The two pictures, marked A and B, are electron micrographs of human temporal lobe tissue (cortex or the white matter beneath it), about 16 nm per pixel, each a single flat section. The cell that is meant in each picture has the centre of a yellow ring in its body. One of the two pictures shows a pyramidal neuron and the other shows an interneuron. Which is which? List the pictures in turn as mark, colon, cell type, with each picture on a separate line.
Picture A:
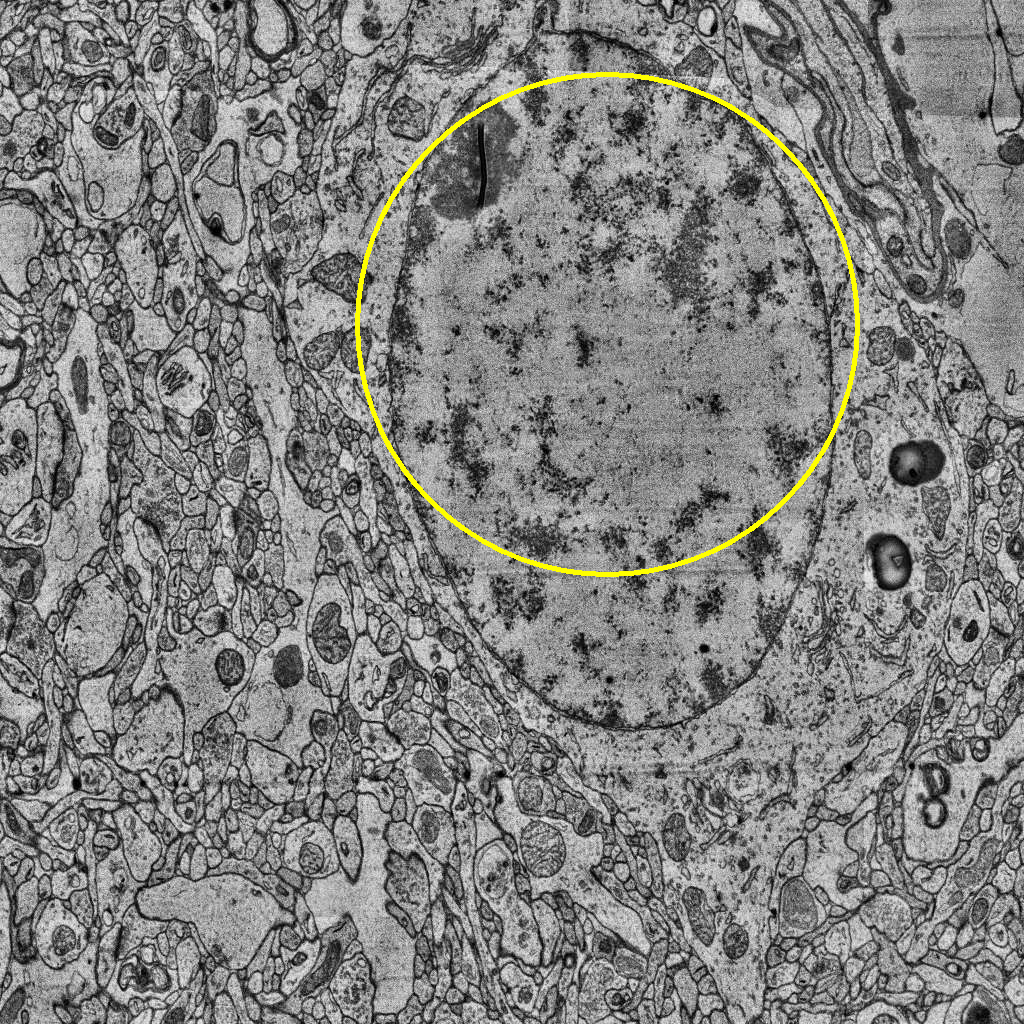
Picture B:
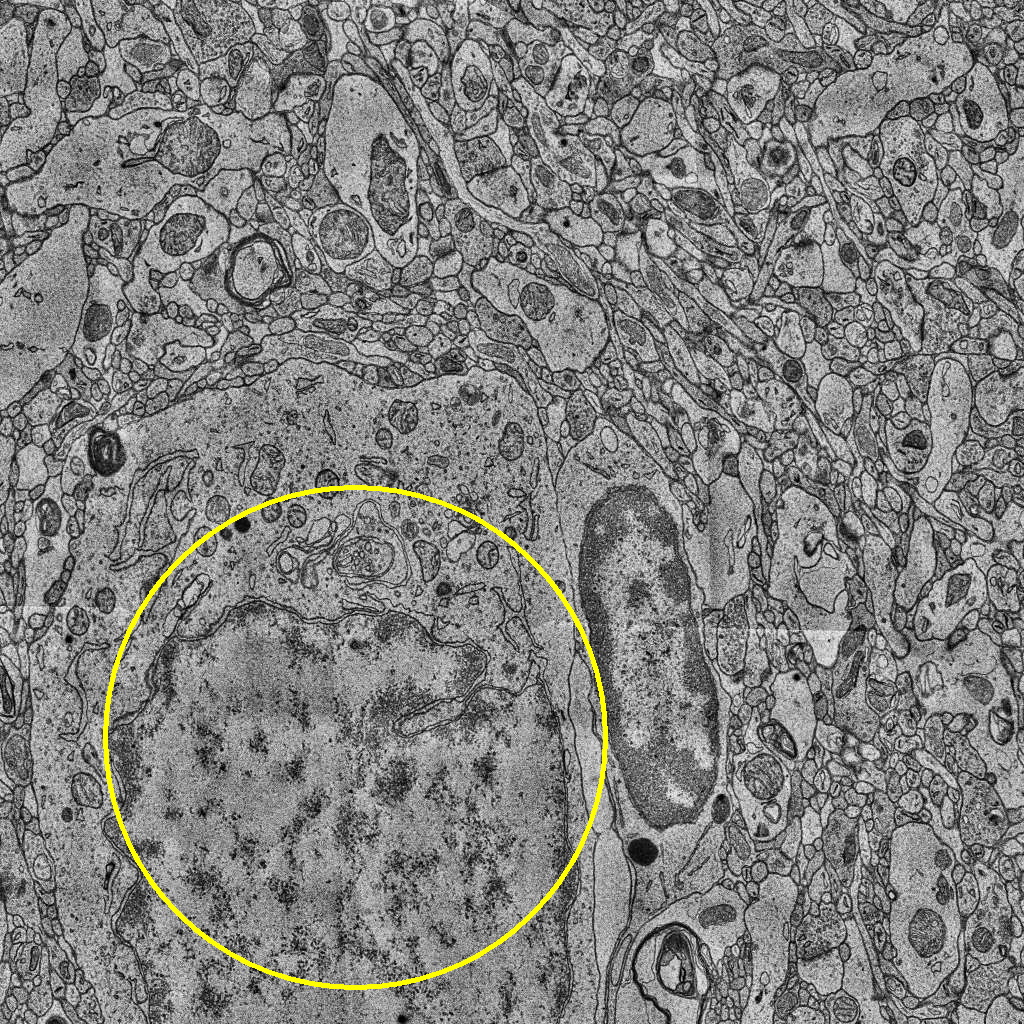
A: pyramidal neuron
B: interneuron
